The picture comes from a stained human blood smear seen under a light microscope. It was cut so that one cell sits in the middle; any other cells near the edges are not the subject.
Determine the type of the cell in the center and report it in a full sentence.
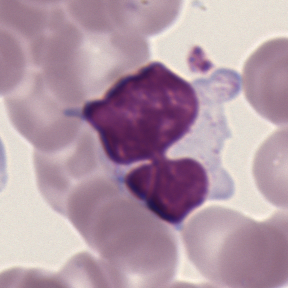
Classified as a large granular lymphocyte is the cell in the middle of this crop.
